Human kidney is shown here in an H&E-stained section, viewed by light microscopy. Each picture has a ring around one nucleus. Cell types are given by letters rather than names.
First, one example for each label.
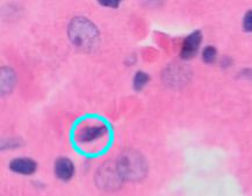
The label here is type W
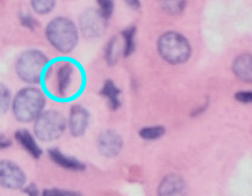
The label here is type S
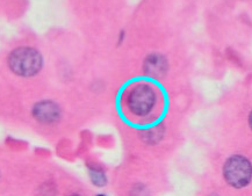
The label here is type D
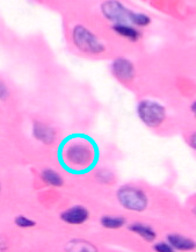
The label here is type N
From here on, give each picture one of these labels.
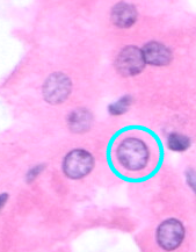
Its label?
type D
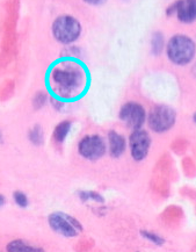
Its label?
type S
